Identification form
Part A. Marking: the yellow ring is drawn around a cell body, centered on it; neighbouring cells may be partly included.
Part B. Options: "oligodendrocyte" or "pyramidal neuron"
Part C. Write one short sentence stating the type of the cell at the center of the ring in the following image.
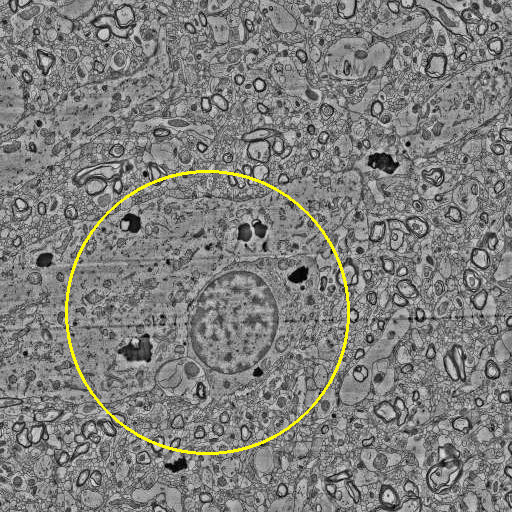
The center of the ring holds an oligodendrocyte.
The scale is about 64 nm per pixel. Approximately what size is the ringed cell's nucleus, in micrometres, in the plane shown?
The nucleus comes to roughly 6 micrometres across in this plane.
